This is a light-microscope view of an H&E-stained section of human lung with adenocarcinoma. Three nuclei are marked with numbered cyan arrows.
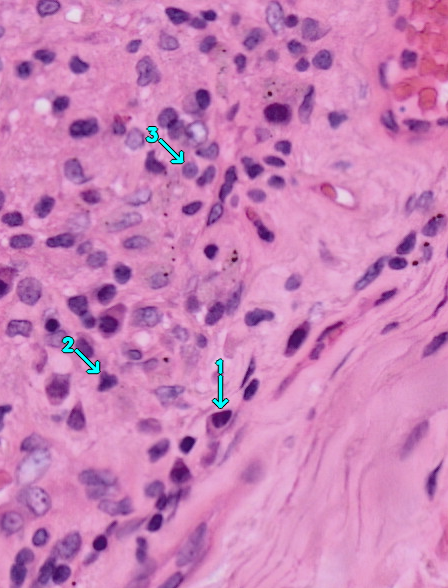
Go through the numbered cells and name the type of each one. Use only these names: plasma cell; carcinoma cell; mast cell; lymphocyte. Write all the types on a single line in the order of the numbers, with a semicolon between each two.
plasma cell; lymphocyte; lymphocyte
